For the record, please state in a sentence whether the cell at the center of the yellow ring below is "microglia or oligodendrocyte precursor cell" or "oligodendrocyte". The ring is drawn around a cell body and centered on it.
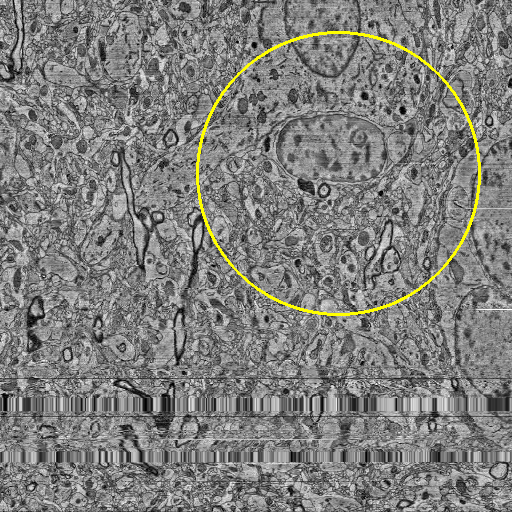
The cell at the ring's center is a microglial cell or oligodendrocyte precursor cell.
